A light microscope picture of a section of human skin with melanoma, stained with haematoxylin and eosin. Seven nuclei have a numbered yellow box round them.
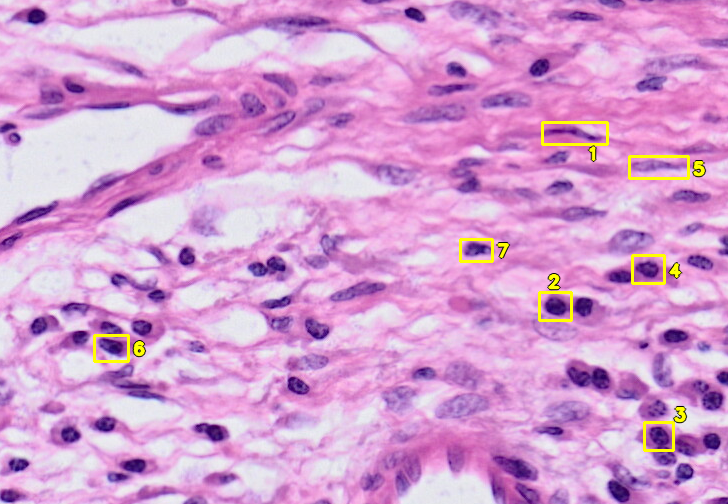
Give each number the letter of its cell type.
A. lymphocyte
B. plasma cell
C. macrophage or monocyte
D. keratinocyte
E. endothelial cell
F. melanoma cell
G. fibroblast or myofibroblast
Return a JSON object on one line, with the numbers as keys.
{"1": "G", "2": "B", "3": "B", "4": "B", "5": "G", "6": "B", "7": "A"}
